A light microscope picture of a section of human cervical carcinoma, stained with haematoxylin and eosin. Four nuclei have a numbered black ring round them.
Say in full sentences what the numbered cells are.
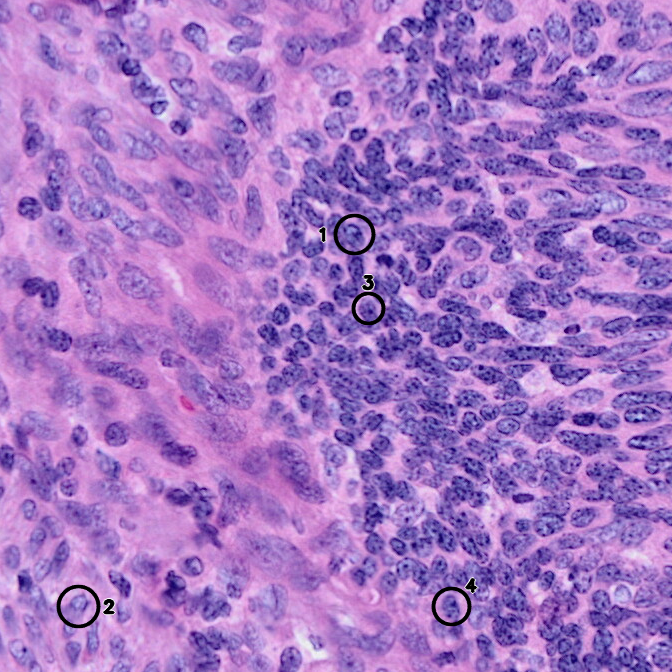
Cell 1 is a squamous carcinoma cell, cell 2 is a smooth muscle cell, cell 3 is a squamous carcinoma cell and cell 4 is a squamous carcinoma cell.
